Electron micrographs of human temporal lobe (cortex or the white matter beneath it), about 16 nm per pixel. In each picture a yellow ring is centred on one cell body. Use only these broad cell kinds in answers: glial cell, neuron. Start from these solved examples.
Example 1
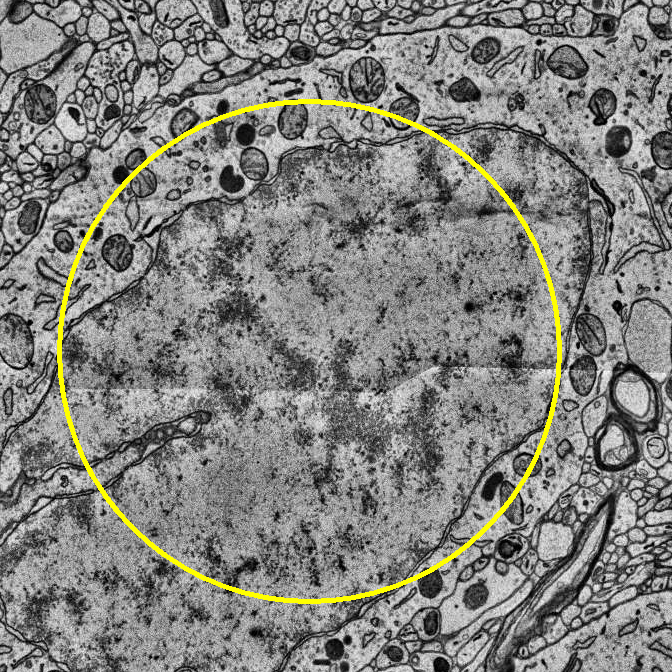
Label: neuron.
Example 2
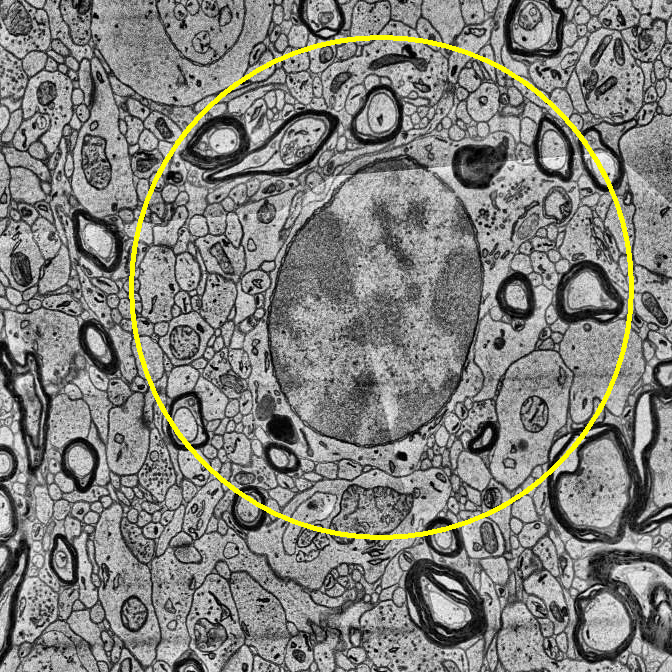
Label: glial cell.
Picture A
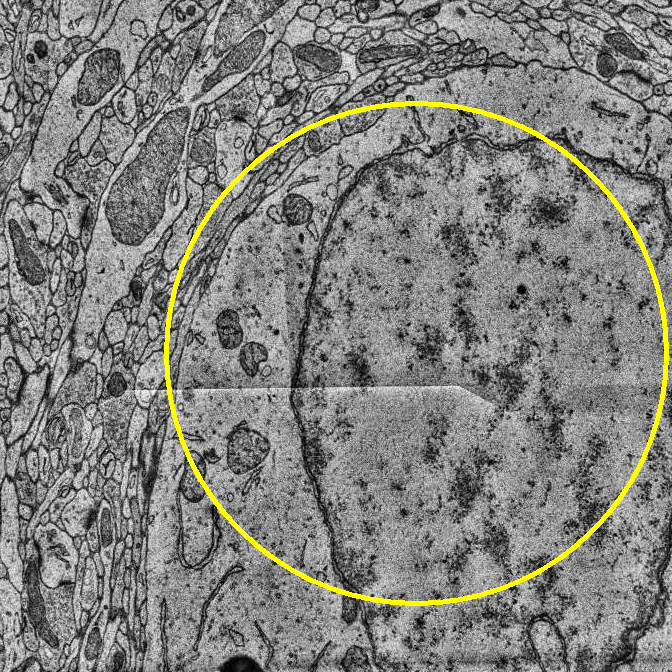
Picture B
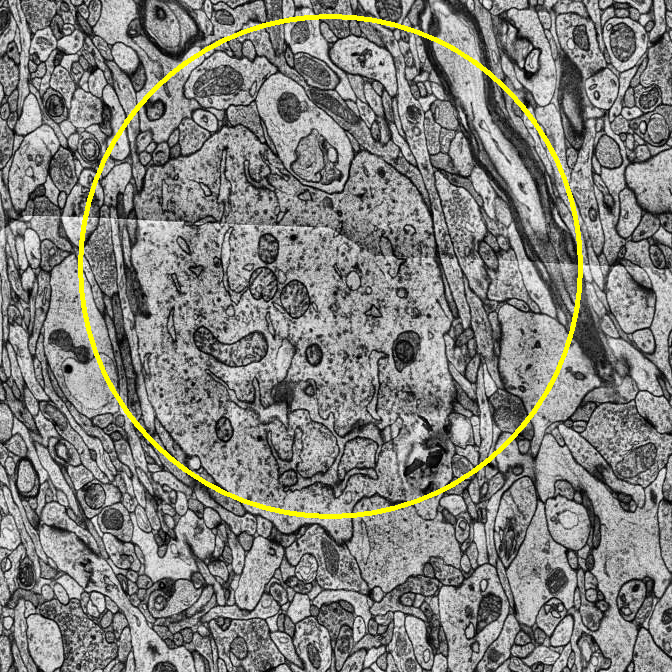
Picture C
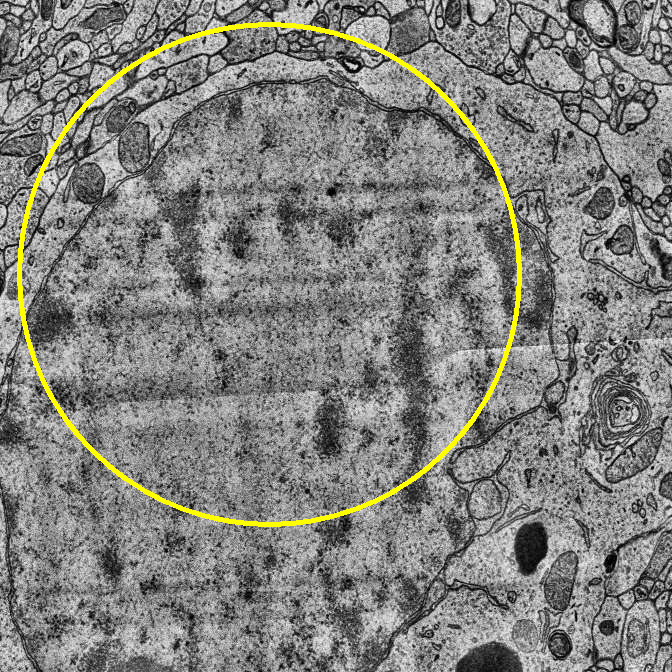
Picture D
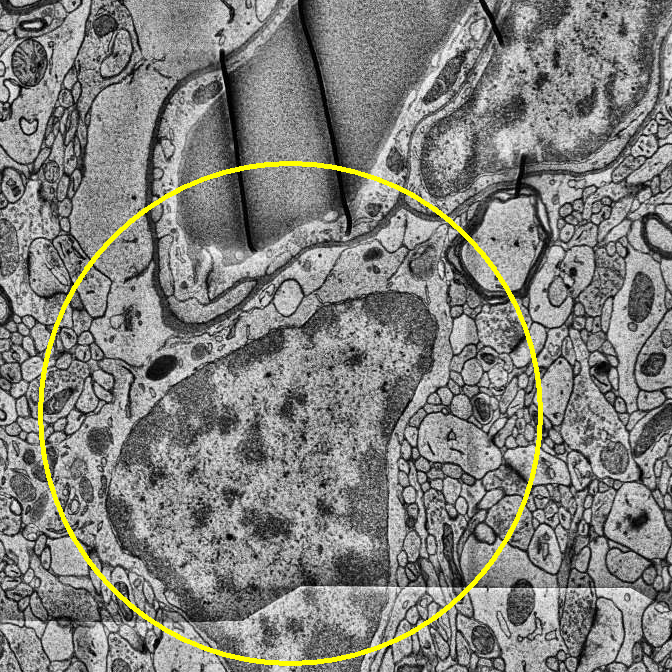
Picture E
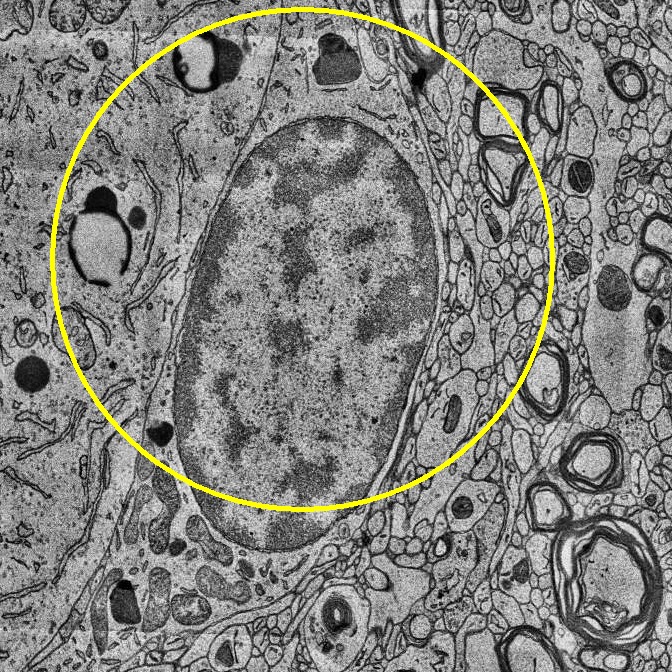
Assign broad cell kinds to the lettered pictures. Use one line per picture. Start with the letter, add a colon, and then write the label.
A: neuron.
B: neuron.
C: neuron.
D: glial cell.
E: glial cell.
